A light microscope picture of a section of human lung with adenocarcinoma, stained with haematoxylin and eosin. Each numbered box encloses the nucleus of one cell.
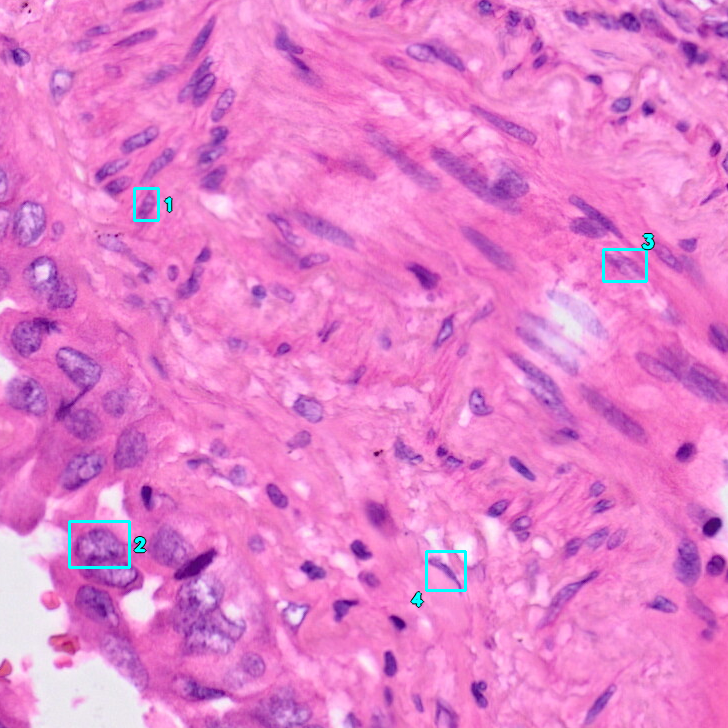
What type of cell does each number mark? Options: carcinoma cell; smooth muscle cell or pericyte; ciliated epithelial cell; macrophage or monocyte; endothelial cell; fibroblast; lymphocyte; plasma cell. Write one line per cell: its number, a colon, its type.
1: smooth muscle cell or pericyte
2: carcinoma cell
3: smooth muscle cell or pericyte
4: fibroblast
